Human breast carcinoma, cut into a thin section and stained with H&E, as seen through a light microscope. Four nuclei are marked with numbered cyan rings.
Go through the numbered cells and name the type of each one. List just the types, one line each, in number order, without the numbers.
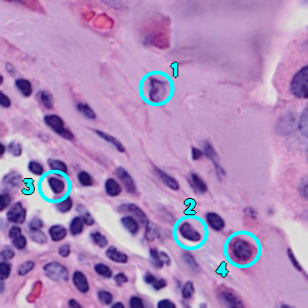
fibroblast
lymphocyte
lymphocyte
mast cell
